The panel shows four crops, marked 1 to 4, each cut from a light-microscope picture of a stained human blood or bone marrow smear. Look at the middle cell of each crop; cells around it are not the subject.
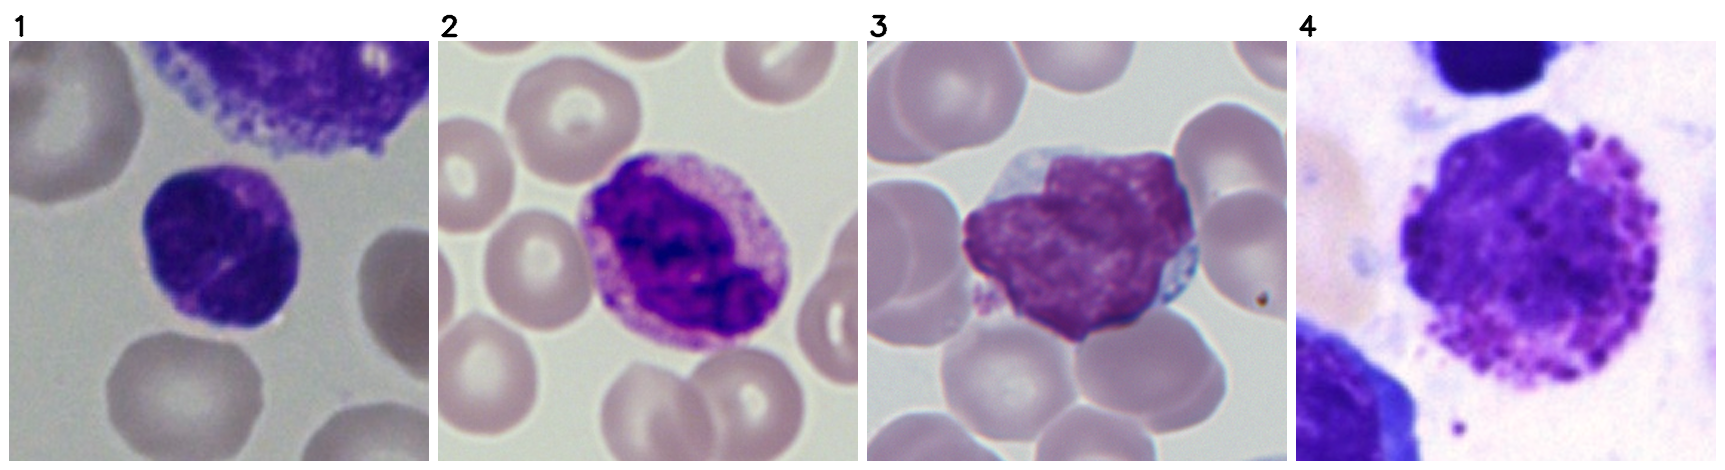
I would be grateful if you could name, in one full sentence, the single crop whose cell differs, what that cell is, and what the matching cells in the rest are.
Although the other crops all show basophils, crop 3 shows a lymphocyte.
